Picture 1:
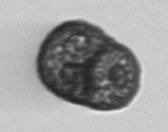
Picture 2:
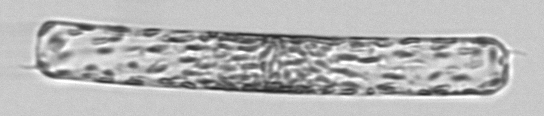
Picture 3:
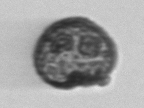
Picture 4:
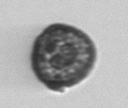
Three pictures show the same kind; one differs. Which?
Picture 2: Guinardia, while the others are Umbilicosphaera sibogae.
